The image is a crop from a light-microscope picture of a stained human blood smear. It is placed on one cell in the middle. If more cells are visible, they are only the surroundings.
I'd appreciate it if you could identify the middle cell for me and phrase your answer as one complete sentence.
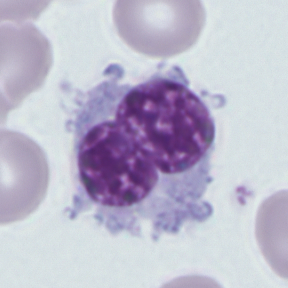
The middle of this crop holds a plasma cell.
